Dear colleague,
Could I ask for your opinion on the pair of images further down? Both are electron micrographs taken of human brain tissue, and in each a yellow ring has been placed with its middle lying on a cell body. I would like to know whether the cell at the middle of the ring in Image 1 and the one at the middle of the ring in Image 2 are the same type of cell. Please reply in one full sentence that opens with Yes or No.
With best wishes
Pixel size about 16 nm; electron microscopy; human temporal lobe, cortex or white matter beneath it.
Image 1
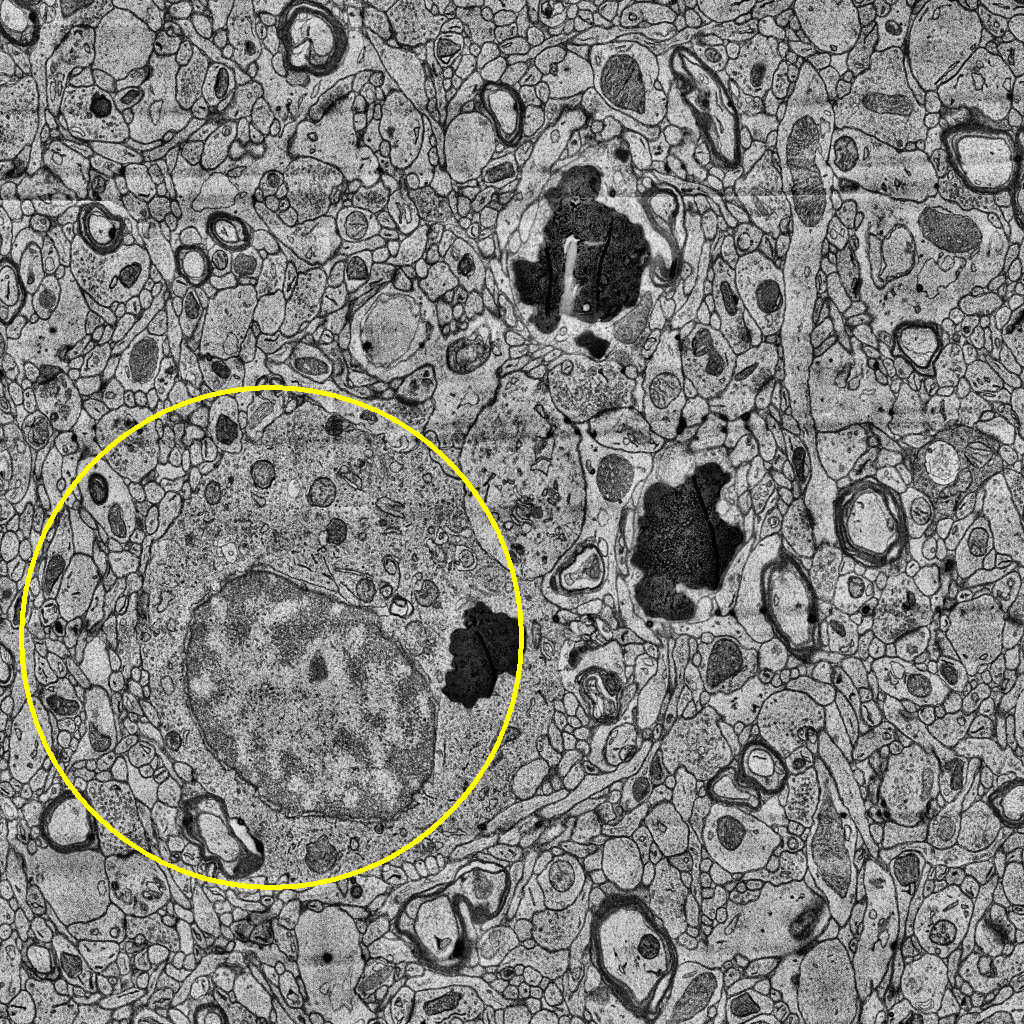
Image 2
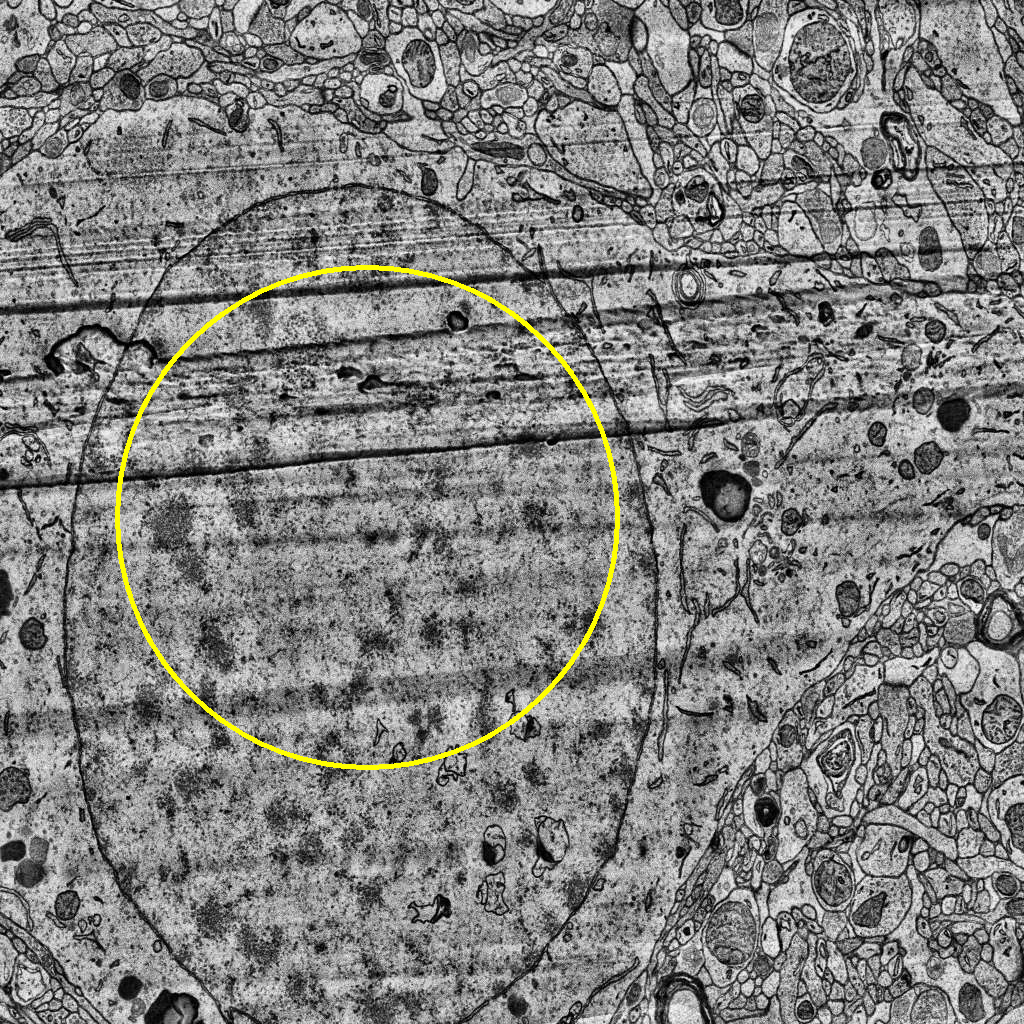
No, the cells at the ring centres in Image 1 and Image 2 are of two types.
